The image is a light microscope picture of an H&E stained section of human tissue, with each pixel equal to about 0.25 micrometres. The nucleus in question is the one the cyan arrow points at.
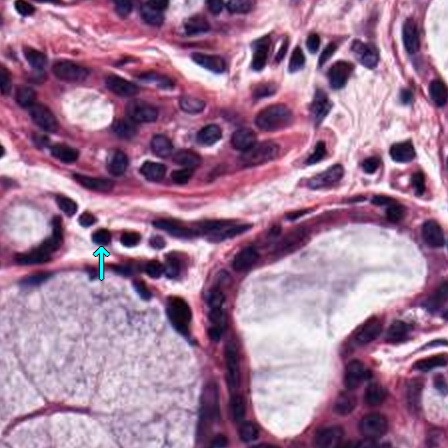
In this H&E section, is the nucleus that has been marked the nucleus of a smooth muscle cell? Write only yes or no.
no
